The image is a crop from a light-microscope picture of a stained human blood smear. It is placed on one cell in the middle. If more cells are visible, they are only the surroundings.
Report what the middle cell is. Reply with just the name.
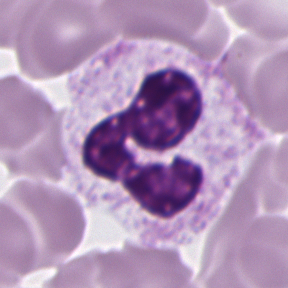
segmented neutrophil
